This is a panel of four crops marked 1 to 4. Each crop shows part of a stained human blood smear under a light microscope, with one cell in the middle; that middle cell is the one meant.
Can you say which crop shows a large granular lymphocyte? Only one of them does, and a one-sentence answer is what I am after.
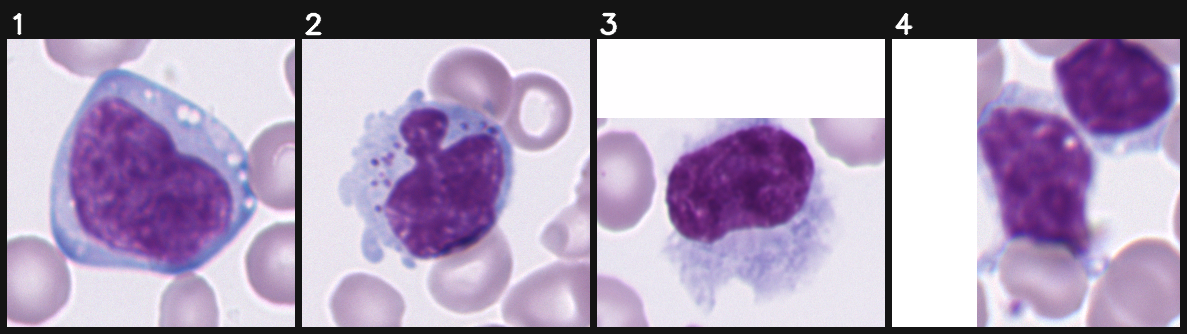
Of these crops, it is crop 2 that shows a large granular lymphocyte.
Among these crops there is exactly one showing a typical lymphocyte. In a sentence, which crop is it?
The one showing a typical lymphocyte is the crop labelled 4.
